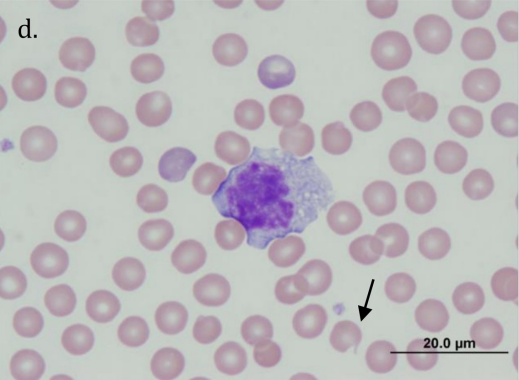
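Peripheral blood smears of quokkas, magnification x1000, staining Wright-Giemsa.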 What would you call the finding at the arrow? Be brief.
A: Keratocyte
